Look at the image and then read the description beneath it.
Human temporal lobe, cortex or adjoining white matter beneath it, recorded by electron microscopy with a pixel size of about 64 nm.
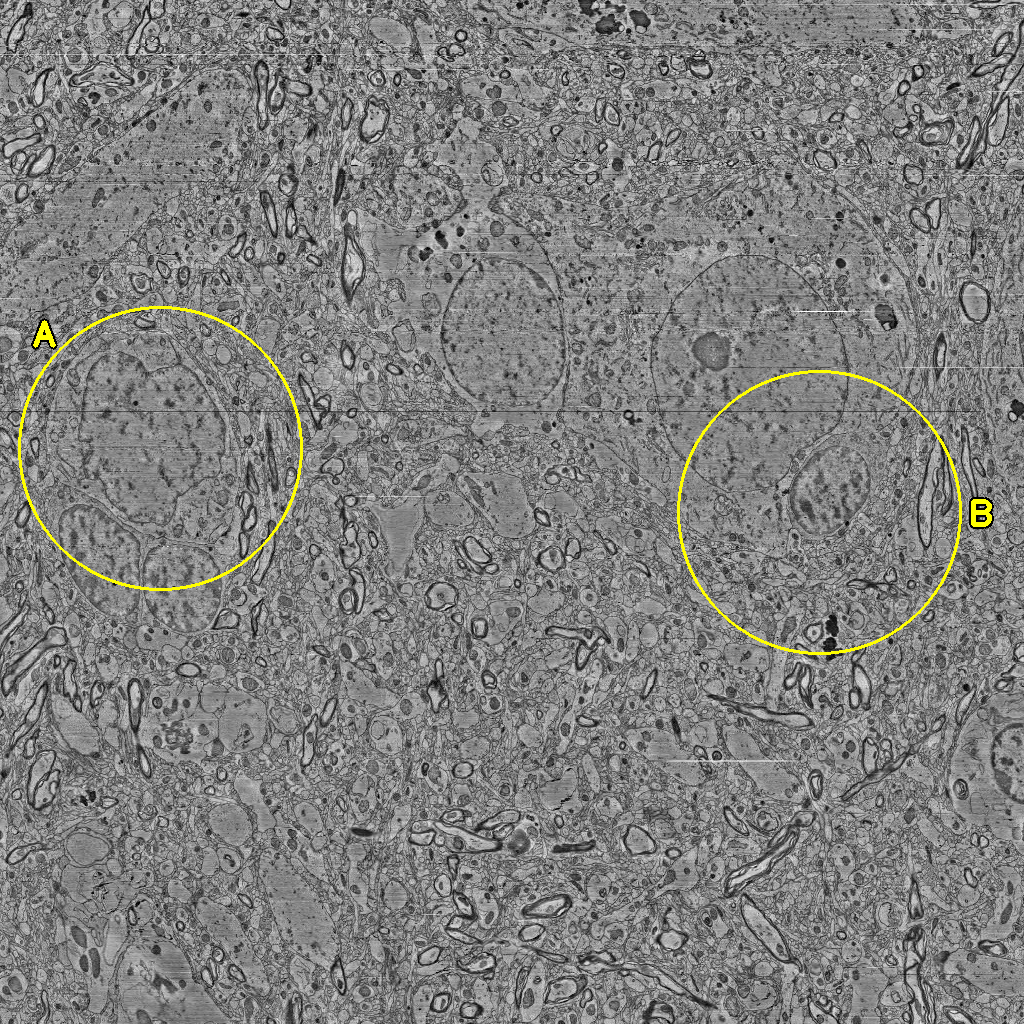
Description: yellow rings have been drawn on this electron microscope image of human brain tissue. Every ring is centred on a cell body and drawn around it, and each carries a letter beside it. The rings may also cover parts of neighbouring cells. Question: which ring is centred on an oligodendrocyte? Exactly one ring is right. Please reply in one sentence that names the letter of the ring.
It is ring B.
